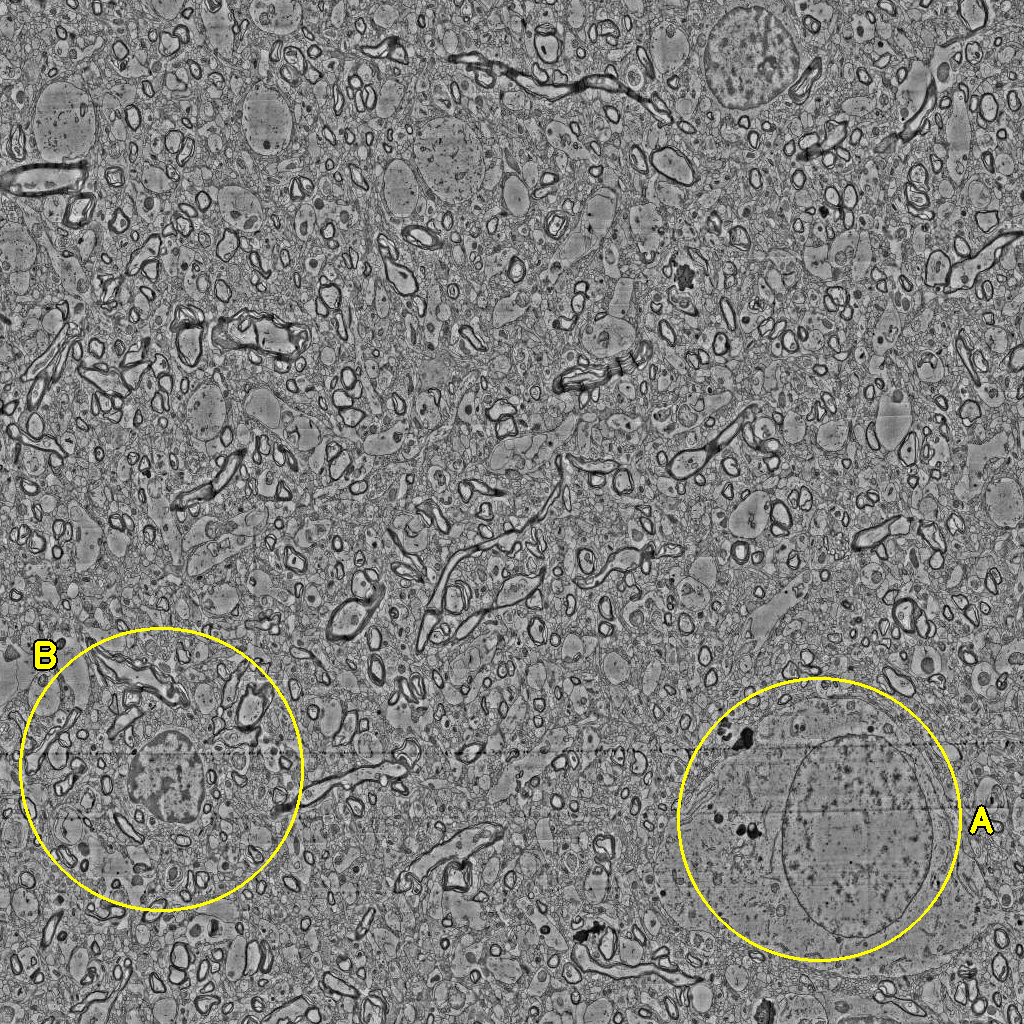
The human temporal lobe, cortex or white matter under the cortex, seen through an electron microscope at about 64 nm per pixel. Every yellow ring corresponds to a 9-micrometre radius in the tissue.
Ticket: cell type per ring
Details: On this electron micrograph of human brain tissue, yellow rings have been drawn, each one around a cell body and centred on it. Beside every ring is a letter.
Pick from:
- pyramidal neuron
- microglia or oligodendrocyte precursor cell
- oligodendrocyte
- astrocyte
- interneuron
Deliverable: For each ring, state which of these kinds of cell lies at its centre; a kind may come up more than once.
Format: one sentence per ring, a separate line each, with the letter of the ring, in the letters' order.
The cell body ringed as A belongs to a pyramidal neuron.
The cell body ringed as B belongs to a microglial cell or oligodendrocyte precursor cell.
